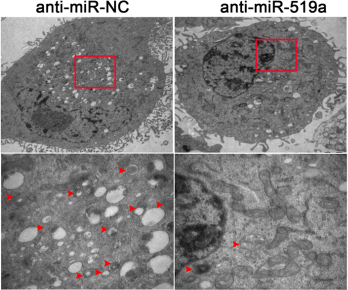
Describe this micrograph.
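In one cell the cytoplasm is crowded with many round, pale, membrane-bound vacuoles of varied size, several marked by red arrowheads. The other cell shows a large nucleus with dark clumped chromatin and cytoplasm with few vacuoles, only a couple marked by arrowheads.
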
